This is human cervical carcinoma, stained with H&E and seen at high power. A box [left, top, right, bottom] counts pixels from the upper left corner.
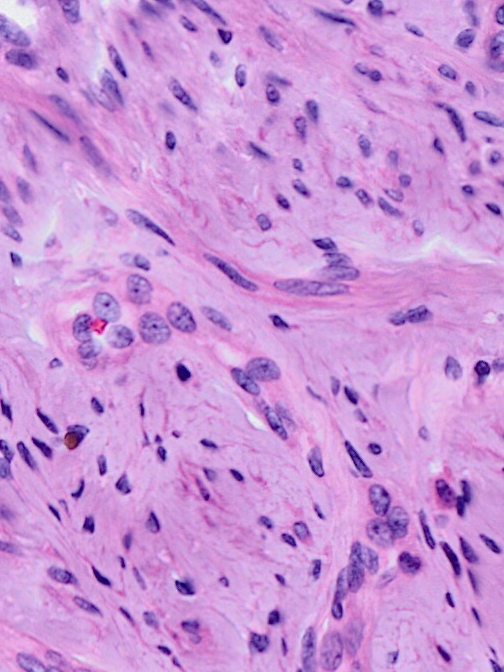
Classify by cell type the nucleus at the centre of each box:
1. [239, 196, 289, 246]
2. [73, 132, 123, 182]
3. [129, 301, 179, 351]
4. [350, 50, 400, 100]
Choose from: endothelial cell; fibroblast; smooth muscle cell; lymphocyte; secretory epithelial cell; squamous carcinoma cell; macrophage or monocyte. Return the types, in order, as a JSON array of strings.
["smooth muscle cell", "smooth muscle cell", "endothelial cell", "smooth muscle cell"]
